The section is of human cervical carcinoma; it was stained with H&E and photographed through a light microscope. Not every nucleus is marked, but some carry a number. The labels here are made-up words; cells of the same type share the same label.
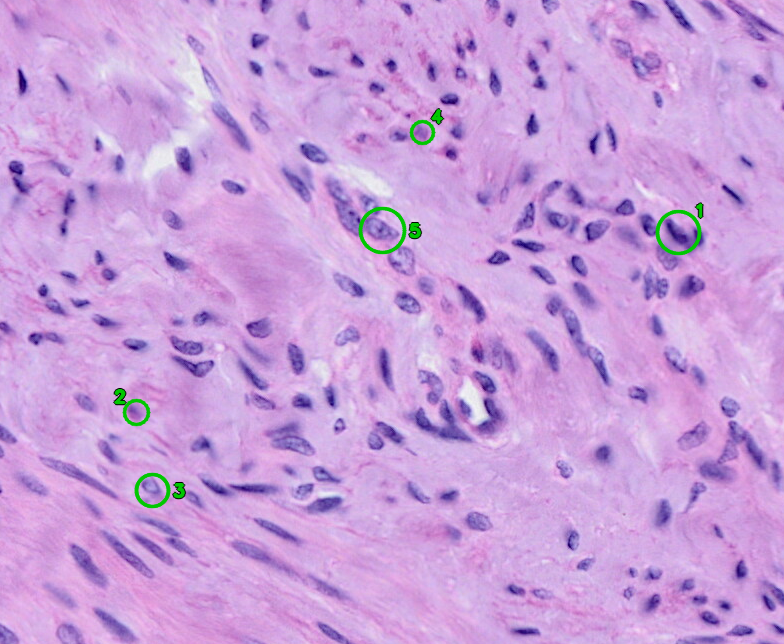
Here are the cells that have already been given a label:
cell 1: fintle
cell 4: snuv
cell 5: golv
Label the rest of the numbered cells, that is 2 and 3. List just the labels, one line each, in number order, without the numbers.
snuv
snuv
